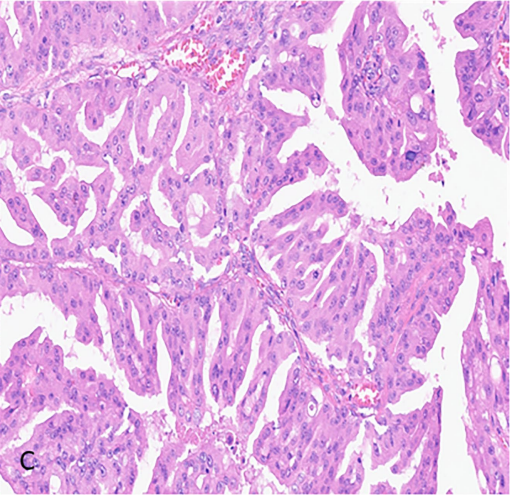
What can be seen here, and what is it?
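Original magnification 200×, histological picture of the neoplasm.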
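Neoplastic epithelial cells line slender papillae and form trabeculae and small gland-like spaces separated by thin fibrovascular stroma. The cells are large and polygonal to columnar, with abundant, intensely pink, finely granular cytoplasm. Their nuclei are round, fairly uniform and often show a conspicuous nucleolus. Cells are arranged in multilayered sheets, with small punched-out lumens within some epithelial clusters. Small vessels containing red blood cells run within the thin stromal cores.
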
